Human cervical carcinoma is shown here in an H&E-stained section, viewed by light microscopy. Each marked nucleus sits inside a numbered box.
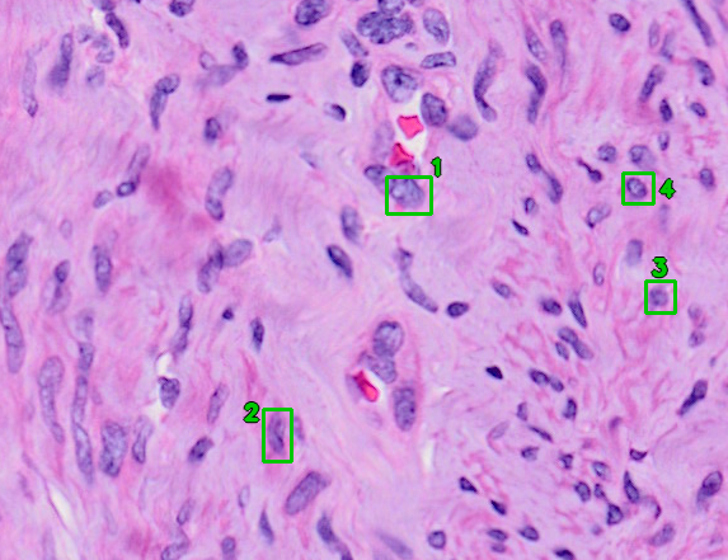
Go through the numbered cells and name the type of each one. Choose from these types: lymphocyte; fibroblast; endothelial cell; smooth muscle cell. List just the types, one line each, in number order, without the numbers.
endothelial cell
smooth muscle cell
smooth muscle cell
smooth muscle cell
